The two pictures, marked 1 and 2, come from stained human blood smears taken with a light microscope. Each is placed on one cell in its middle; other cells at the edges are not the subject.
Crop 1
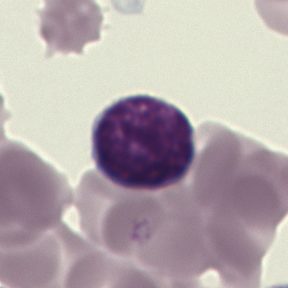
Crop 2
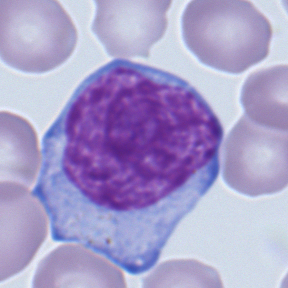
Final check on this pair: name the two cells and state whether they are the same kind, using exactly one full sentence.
No, the central cell of crop 1 is a typical lymphocyte; that of crop 2 is a myeloblast.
